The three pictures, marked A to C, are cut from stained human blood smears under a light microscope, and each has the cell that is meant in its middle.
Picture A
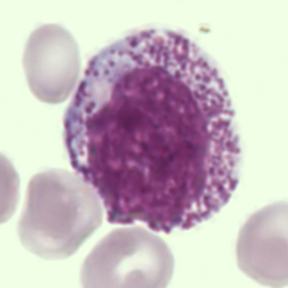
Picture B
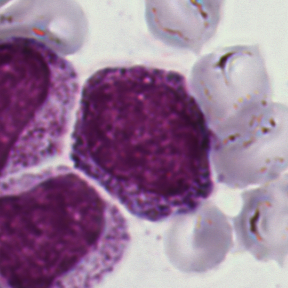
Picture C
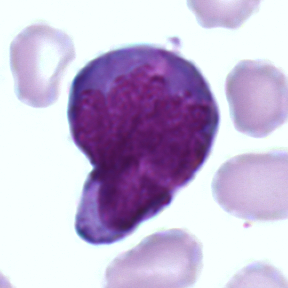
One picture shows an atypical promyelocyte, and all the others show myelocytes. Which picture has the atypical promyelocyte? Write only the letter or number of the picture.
C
